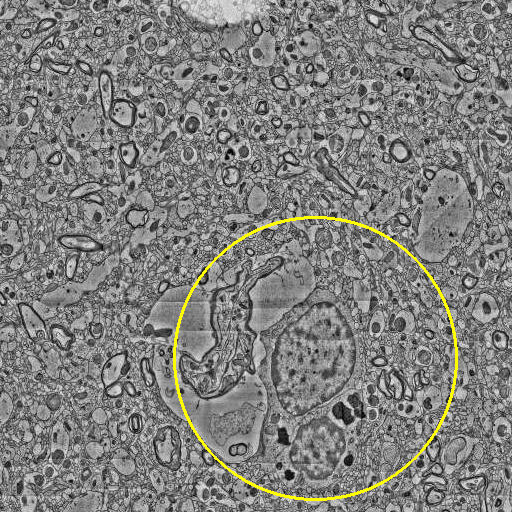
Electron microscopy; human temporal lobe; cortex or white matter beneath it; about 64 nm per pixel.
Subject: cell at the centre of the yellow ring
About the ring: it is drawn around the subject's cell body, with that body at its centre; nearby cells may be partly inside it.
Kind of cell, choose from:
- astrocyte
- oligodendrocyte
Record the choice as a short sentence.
The subject cell is an oligodendrocyte.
